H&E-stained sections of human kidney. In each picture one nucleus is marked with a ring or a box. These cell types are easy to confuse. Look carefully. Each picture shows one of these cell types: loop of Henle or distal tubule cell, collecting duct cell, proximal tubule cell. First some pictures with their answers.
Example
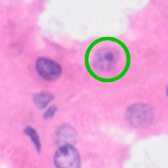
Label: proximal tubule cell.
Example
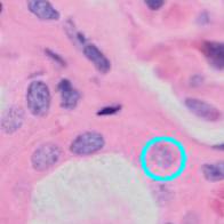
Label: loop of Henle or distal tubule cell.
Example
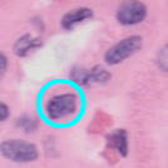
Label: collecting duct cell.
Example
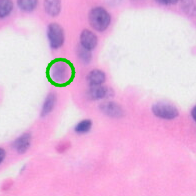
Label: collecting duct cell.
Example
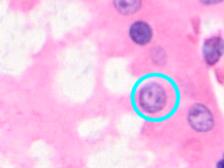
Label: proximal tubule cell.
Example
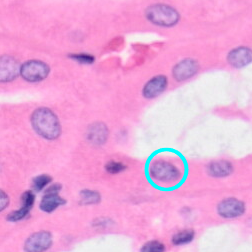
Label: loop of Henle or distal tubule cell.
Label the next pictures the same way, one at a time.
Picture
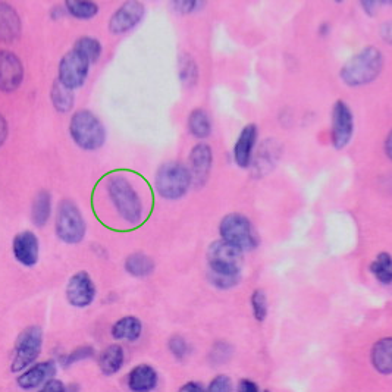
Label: collecting duct cell.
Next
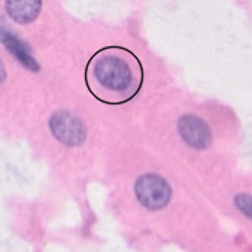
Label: proximal tubule cell.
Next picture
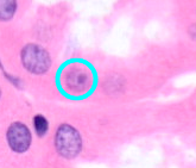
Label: proximal tubule cell.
